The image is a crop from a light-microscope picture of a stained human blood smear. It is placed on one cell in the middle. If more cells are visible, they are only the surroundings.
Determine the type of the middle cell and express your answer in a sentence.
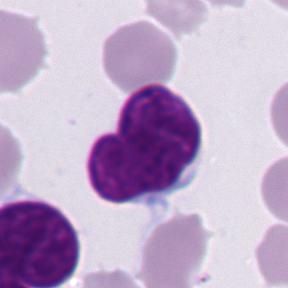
The middle of this crop holds a blast.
